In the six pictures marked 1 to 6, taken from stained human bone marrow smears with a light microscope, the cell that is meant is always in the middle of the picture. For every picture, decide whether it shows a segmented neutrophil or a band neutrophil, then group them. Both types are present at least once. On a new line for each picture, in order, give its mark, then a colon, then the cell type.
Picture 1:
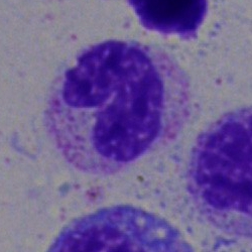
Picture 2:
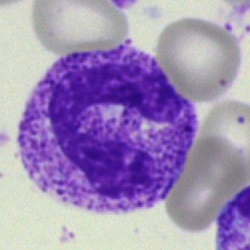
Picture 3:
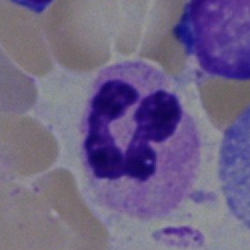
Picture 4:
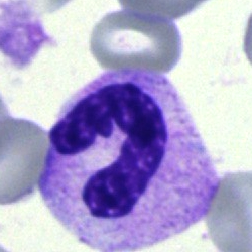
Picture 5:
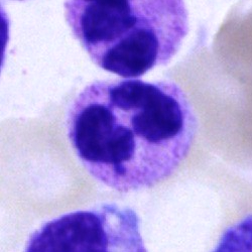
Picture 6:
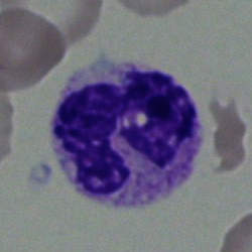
1: band neutrophil
2: band neutrophil
3: segmented neutrophil
4: segmented neutrophil
5: segmented neutrophil
6: segmented neutrophil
